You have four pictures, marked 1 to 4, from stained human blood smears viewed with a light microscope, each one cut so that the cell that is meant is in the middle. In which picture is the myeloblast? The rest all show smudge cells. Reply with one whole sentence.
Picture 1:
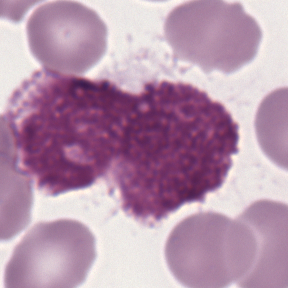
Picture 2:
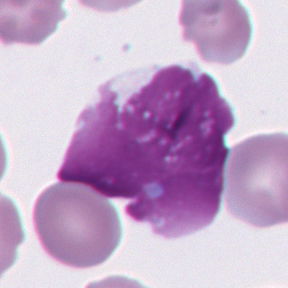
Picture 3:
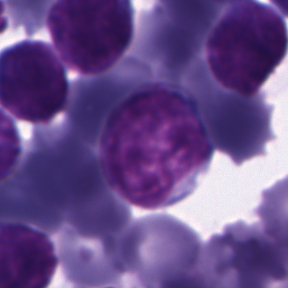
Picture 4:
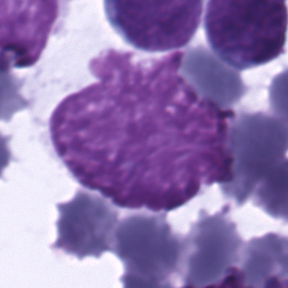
Picture 3 shows the myeloblast.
